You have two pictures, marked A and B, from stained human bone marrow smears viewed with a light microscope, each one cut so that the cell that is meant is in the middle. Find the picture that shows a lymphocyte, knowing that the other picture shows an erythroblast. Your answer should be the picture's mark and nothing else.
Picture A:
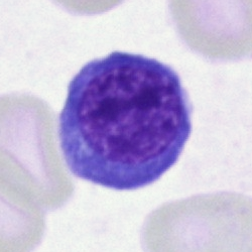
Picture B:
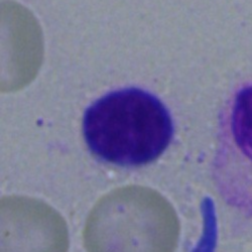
B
